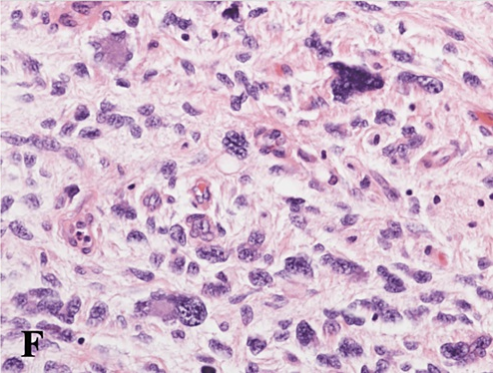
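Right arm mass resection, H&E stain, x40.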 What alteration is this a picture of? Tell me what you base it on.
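Large nuclei with irregular outlines and coarse chromatin. A very large, dark, bizarre nucleus near the top right. That points to this answer: highly atypical nuclear features.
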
